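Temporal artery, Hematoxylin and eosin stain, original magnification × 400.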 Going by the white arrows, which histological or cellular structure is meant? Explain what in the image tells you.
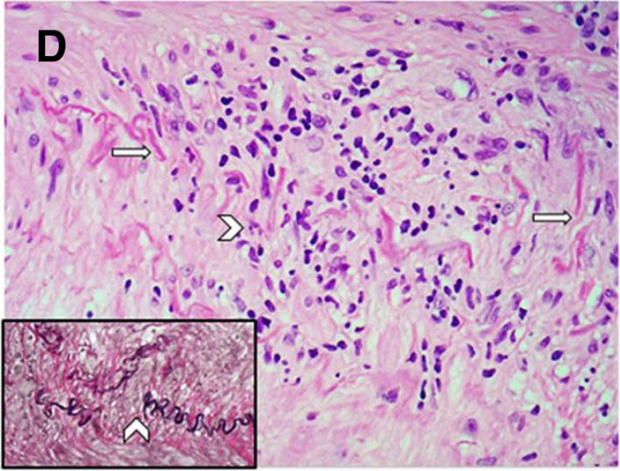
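The arrows point to wavy, bright pink, thin fibres. The fibres are discontinuous among infiltrating cells.
Hence: internal elastic lamina.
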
